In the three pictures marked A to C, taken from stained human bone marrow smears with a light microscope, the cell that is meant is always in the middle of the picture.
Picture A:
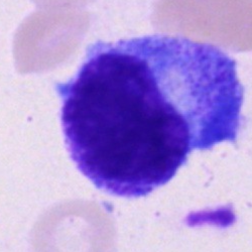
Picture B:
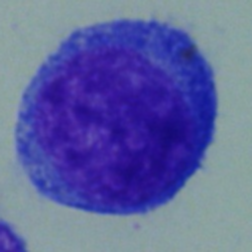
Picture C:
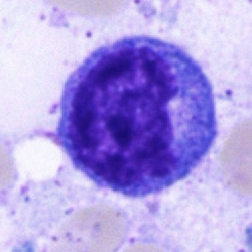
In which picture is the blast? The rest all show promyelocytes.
B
